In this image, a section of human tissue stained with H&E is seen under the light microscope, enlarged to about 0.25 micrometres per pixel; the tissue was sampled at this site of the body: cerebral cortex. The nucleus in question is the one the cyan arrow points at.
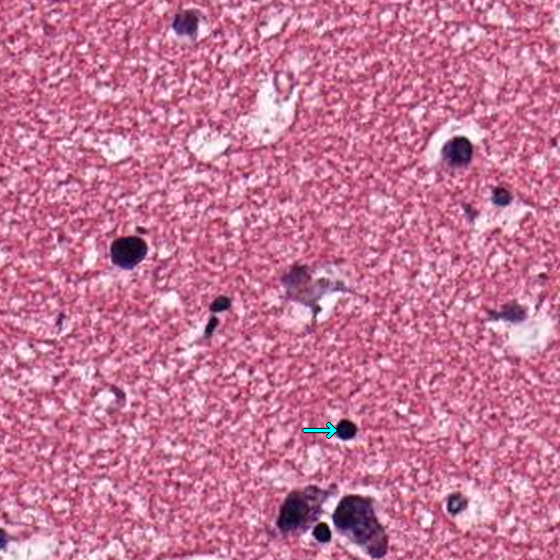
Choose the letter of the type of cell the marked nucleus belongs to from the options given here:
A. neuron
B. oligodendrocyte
B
